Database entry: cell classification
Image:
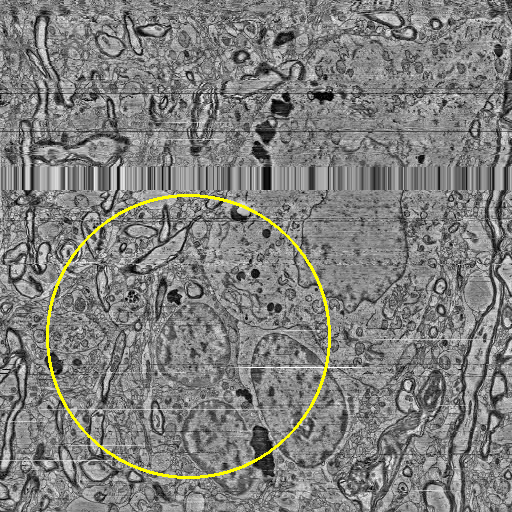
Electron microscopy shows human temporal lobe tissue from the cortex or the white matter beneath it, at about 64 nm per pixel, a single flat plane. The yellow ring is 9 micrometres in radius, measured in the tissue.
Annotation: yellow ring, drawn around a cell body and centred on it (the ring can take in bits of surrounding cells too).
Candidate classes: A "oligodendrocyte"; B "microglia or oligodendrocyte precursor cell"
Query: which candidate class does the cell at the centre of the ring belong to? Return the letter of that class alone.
A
